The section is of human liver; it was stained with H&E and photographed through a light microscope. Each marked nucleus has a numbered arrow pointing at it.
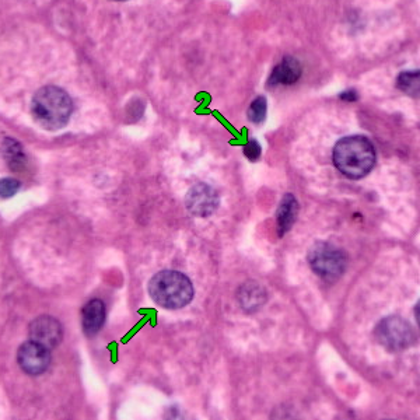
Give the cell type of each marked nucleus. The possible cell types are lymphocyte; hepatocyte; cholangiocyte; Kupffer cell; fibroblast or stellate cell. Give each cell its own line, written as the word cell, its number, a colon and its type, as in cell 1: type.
cell 1: hepatocyte
cell 2: lymphocyte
